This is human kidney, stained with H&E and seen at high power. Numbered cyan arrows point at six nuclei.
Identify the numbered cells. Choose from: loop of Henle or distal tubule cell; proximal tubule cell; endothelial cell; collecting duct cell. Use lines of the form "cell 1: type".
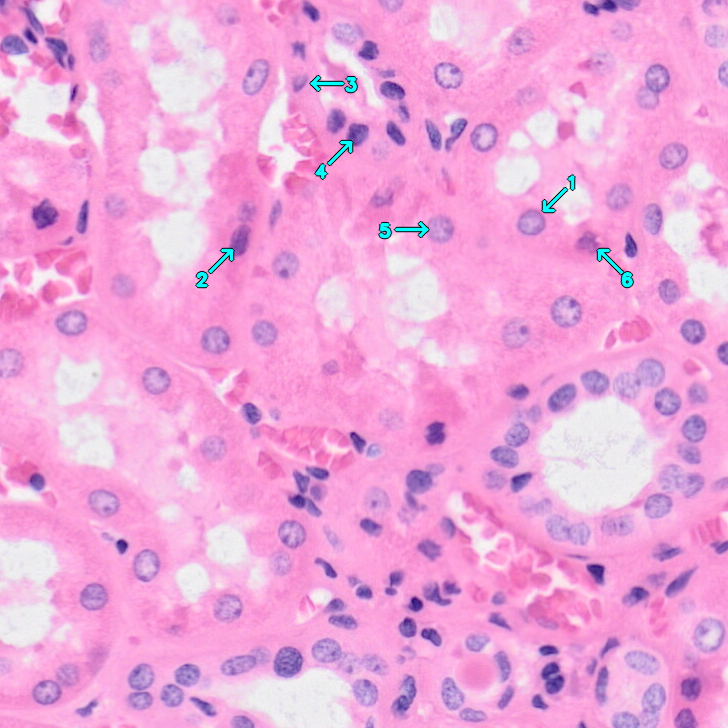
cell 1: proximal tubule cell
cell 2: proximal tubule cell
cell 3: collecting duct cell
cell 4: collecting duct cell
cell 5: proximal tubule cell
cell 6: proximal tubule cell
